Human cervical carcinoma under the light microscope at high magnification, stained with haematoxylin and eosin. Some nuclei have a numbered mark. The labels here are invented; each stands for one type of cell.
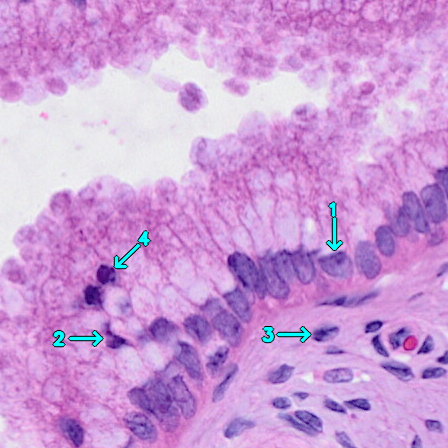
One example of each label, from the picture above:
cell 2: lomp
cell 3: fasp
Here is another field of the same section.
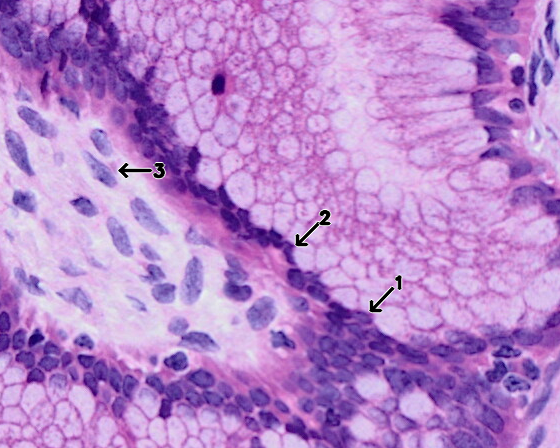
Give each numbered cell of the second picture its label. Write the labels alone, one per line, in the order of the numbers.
lomp
lomp
fasp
